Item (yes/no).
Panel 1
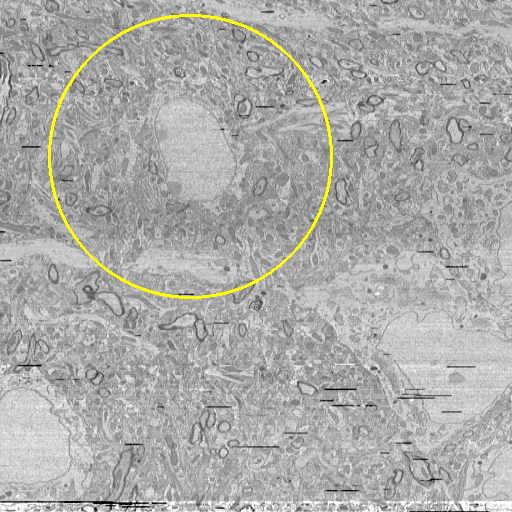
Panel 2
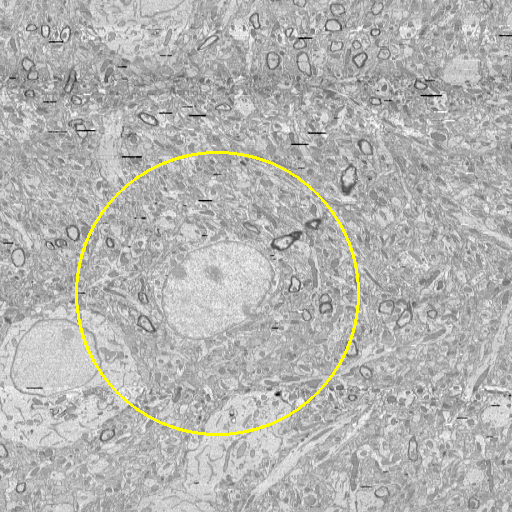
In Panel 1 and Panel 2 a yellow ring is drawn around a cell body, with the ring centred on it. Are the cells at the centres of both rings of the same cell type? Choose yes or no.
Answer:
yes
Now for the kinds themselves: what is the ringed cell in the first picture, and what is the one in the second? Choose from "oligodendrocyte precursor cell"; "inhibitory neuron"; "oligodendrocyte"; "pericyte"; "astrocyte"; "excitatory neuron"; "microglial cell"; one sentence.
Both cells are the same kind, each one being an astrocyte.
